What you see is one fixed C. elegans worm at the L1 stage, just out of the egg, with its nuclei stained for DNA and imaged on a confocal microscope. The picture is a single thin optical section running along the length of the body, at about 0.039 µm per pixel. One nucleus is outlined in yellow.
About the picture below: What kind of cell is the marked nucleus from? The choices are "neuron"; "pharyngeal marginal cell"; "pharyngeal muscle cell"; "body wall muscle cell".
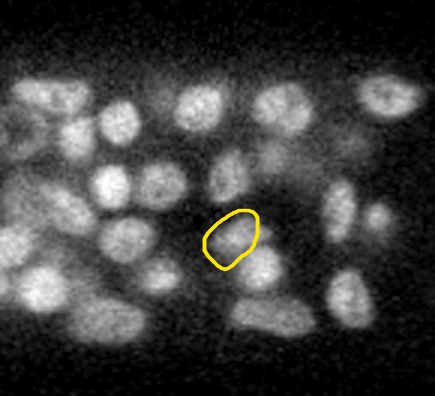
pharyngeal marginal cell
